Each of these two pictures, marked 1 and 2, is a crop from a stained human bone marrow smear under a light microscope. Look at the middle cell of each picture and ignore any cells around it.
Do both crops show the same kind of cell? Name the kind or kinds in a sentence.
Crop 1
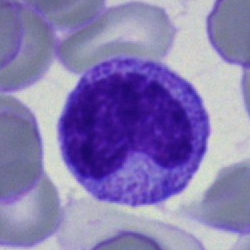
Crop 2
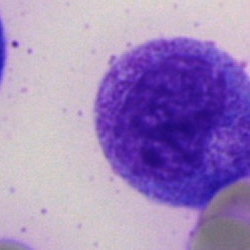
No, crop 1 features a metamyelocyte, while crop 2 features a myelocyte.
